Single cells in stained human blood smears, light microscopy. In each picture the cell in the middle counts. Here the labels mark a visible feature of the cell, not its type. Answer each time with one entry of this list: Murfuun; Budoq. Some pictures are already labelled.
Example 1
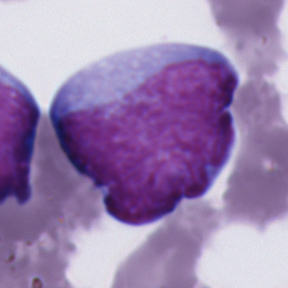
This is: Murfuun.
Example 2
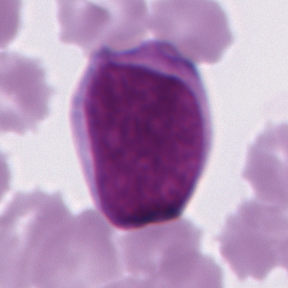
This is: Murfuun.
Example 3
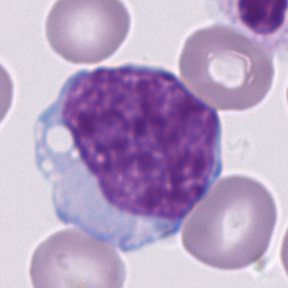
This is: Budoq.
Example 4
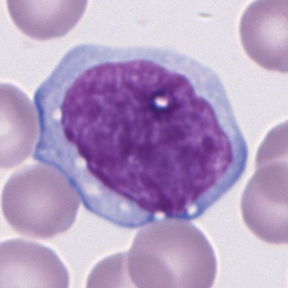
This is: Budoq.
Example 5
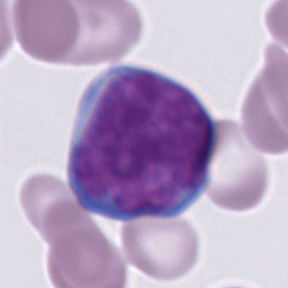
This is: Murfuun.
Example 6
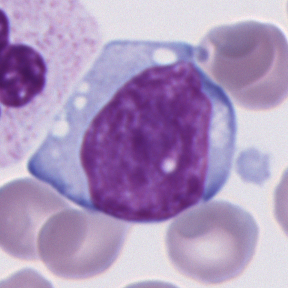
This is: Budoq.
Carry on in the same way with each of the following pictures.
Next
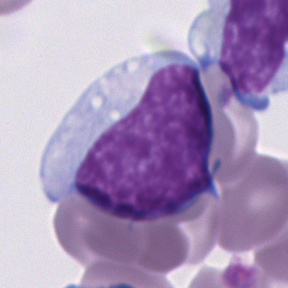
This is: Budoq.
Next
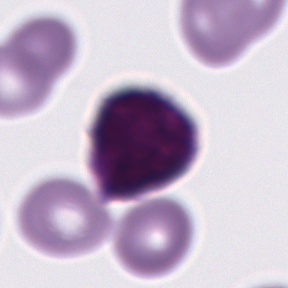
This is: Murfuun.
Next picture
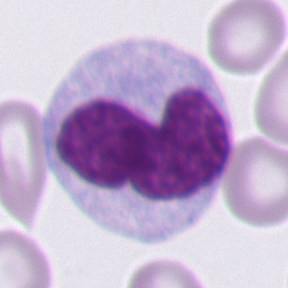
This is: Murfuun.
